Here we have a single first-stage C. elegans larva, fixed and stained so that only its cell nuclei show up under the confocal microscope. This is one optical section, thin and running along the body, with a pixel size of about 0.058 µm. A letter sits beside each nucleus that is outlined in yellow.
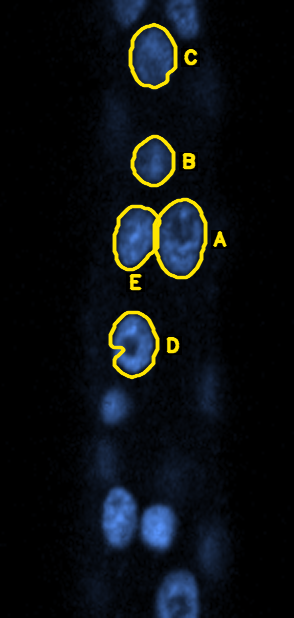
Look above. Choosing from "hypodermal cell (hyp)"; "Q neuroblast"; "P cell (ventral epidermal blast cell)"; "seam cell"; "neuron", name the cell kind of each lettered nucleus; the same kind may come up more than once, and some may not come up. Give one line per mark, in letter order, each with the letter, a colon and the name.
A: hypodermal cell (hyp)
B: Q neuroblast
C: seam cell
D: seam cell
E: P cell (ventral epidermal blast cell)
